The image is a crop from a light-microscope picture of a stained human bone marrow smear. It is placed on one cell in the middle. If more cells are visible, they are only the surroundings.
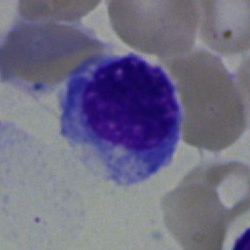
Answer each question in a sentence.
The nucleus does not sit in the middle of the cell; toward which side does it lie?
The nucleus is pushed toward the upper right of the cell.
